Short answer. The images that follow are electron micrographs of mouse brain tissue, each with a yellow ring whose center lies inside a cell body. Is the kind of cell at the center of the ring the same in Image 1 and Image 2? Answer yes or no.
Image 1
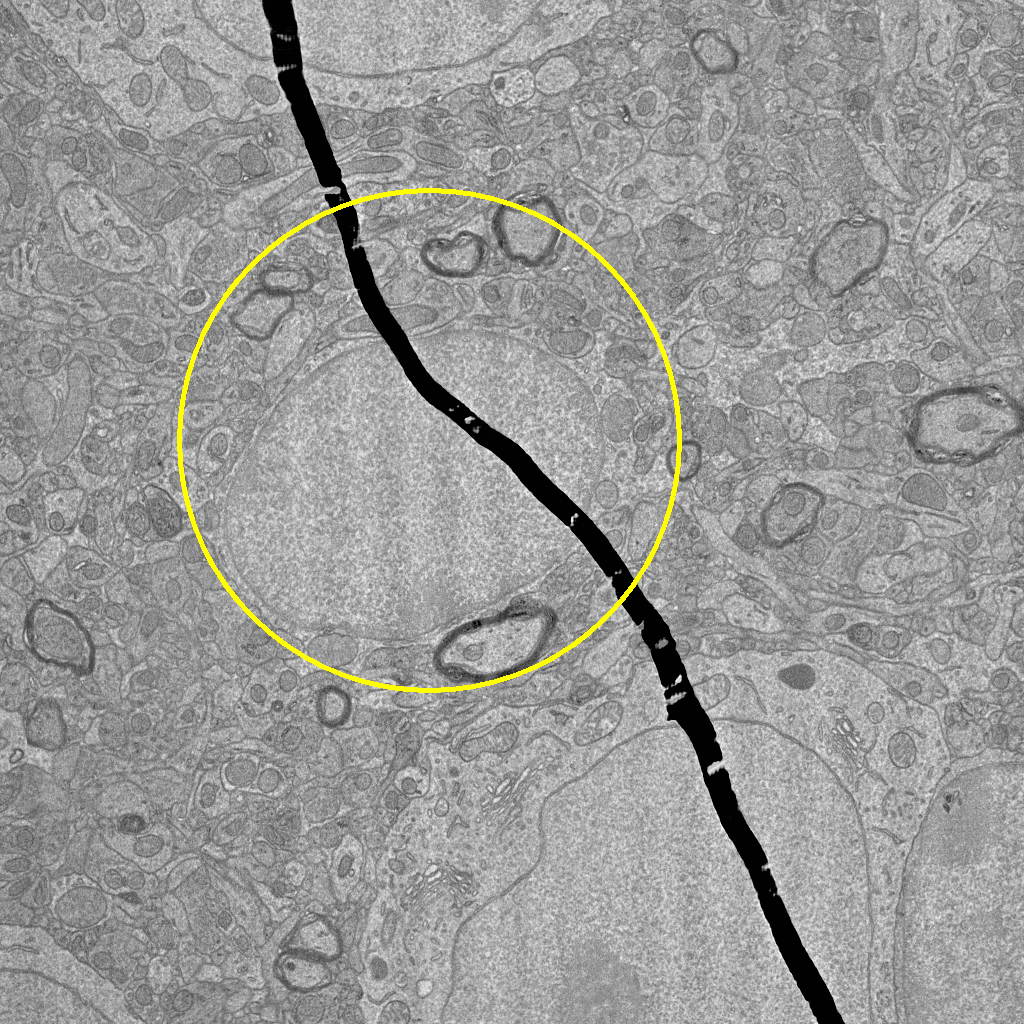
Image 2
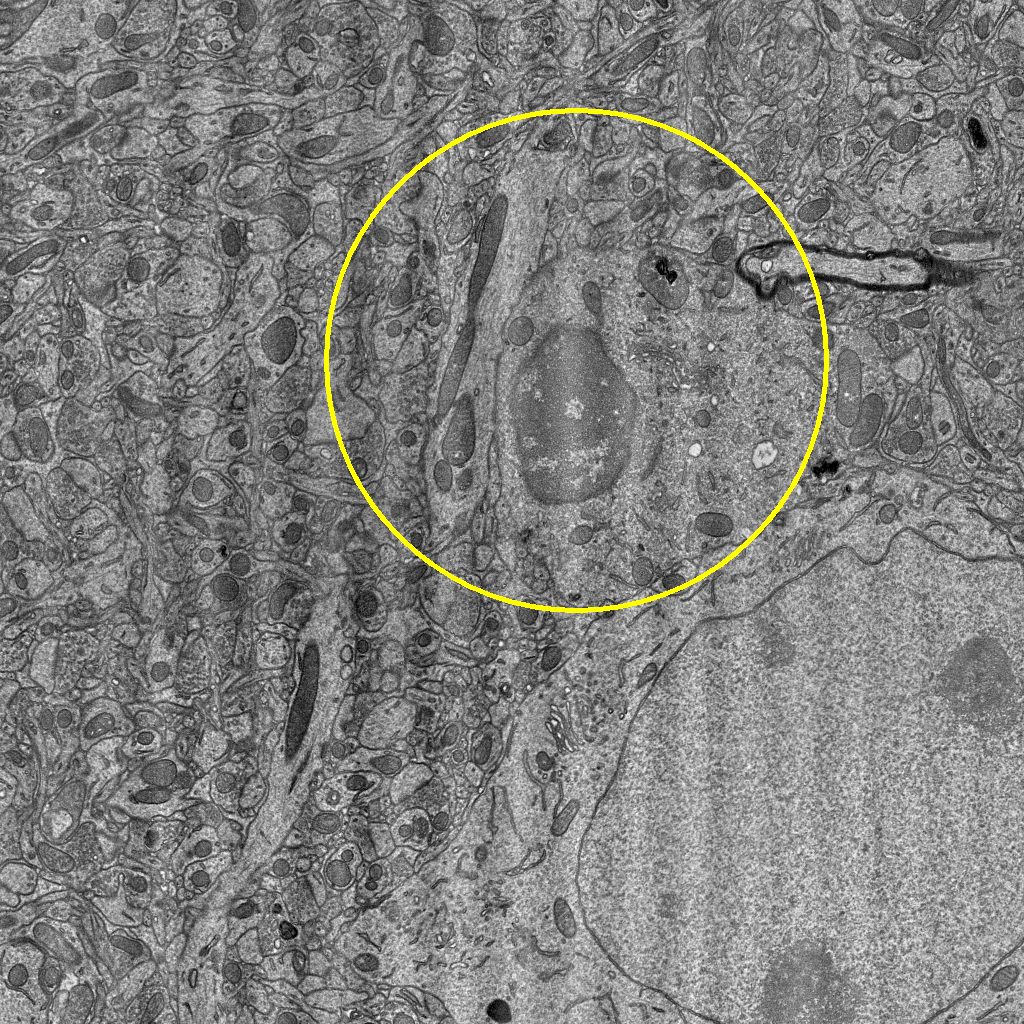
no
